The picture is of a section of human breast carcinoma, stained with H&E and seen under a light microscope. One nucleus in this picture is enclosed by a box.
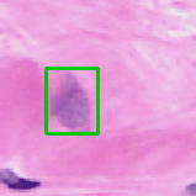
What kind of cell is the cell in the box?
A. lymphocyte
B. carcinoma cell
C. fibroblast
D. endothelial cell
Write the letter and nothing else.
C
